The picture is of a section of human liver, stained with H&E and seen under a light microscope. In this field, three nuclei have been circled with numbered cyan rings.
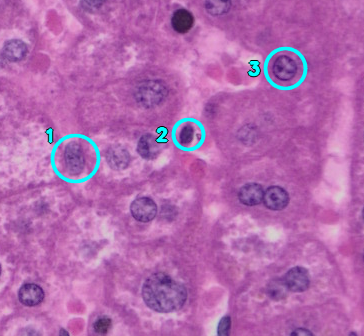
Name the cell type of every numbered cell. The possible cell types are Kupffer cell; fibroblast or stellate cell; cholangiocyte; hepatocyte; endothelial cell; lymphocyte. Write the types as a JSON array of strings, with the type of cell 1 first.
["endothelial cell", "lymphocyte", "hepatocyte"]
